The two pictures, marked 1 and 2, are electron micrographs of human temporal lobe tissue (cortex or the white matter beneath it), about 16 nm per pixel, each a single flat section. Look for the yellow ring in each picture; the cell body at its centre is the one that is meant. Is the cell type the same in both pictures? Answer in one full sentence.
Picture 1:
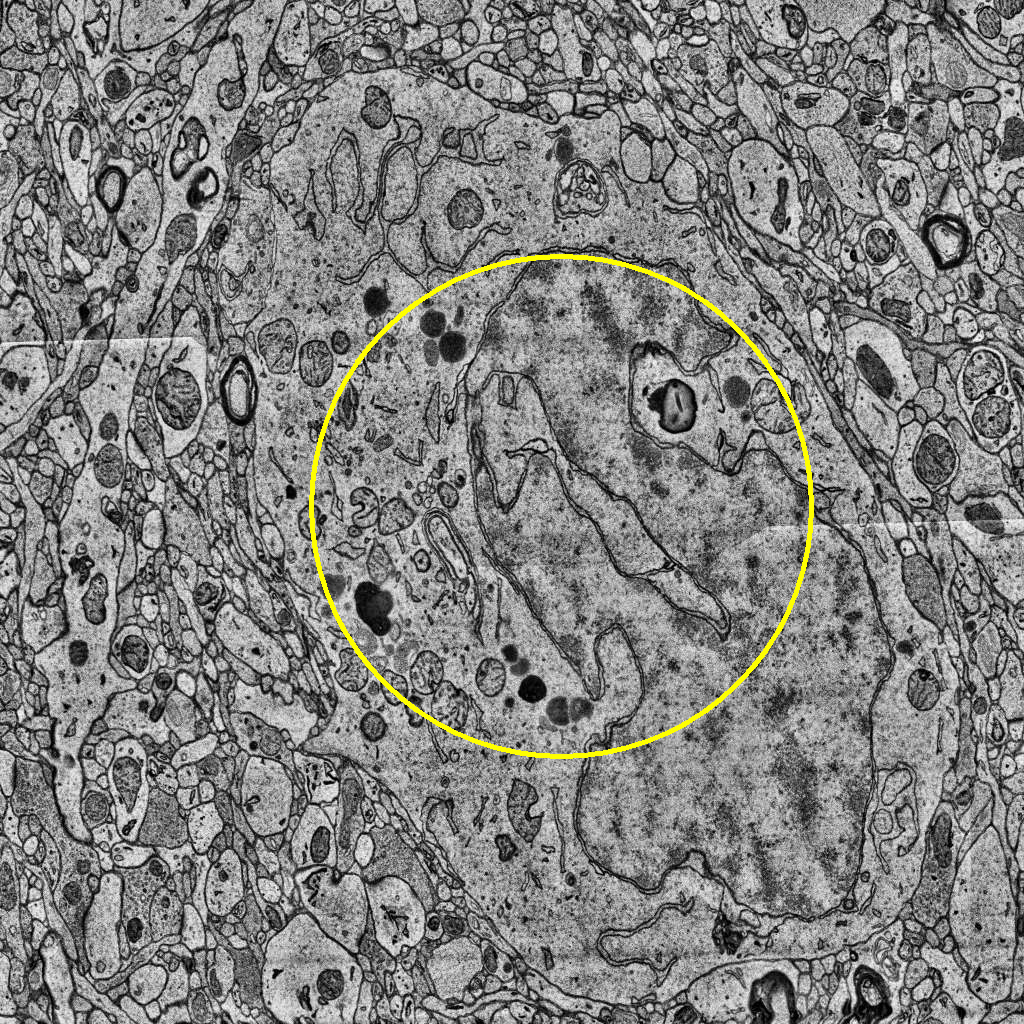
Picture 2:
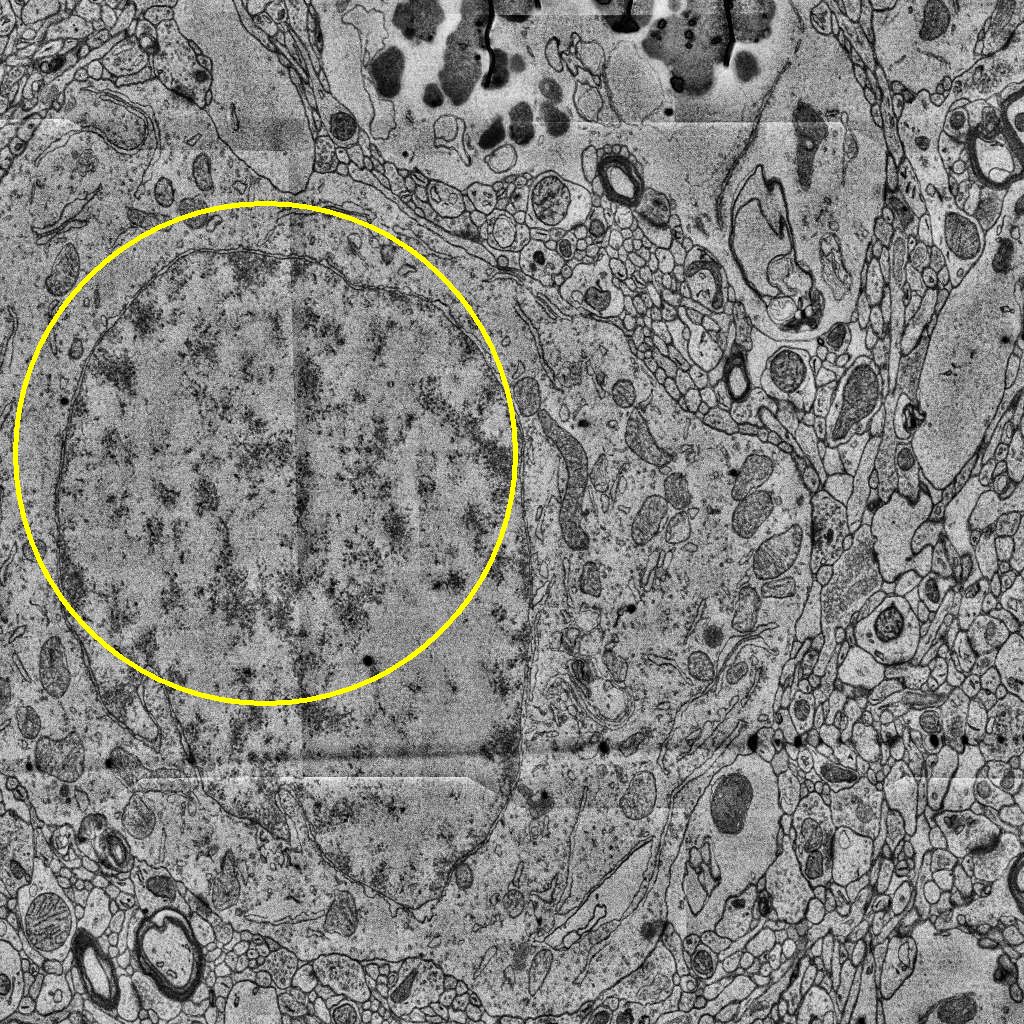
Yes, the two pictures both show interneurons.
